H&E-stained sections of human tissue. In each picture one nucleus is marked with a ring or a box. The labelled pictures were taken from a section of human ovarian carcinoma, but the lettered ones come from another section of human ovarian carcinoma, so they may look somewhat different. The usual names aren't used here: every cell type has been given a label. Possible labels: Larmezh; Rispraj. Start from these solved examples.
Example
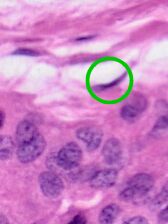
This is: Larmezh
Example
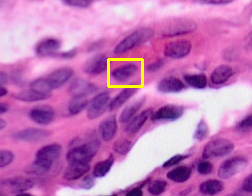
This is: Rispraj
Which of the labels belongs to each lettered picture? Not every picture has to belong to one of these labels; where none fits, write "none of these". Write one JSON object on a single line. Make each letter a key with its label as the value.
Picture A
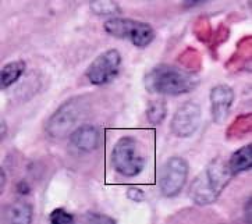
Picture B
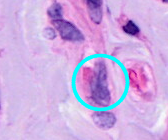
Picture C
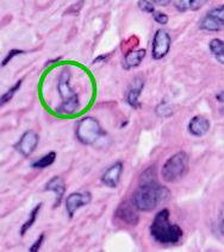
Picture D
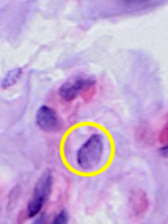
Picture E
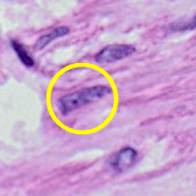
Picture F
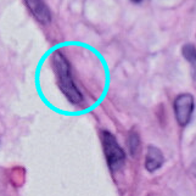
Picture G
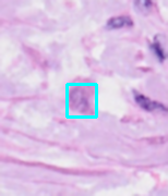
{"A": "none of these", "B": "Rispraj", "C": "Larmezh", "D": "Larmezh", "E": "Larmezh", "F": "Rispraj", "G": "Larmezh"}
